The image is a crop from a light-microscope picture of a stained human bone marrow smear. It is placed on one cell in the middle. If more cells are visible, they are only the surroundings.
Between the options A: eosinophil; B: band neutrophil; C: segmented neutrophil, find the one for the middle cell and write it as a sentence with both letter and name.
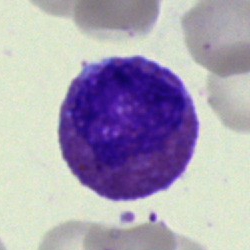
Option A is the correct one; it names the central cell as an eosinophil.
